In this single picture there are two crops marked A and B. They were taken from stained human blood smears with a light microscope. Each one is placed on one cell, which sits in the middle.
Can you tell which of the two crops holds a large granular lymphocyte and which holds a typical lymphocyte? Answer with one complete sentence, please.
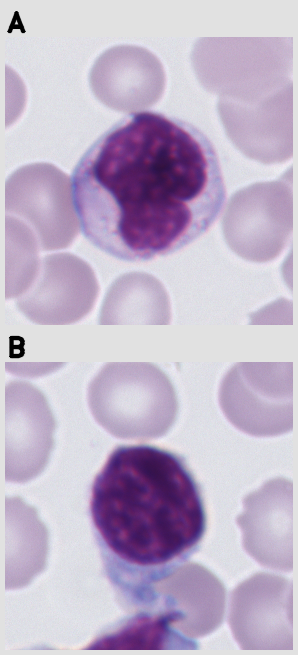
The cell that crop A centres on is a large granular lymphocyte, and the cell that crop B centres on is a typical lymphocyte.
